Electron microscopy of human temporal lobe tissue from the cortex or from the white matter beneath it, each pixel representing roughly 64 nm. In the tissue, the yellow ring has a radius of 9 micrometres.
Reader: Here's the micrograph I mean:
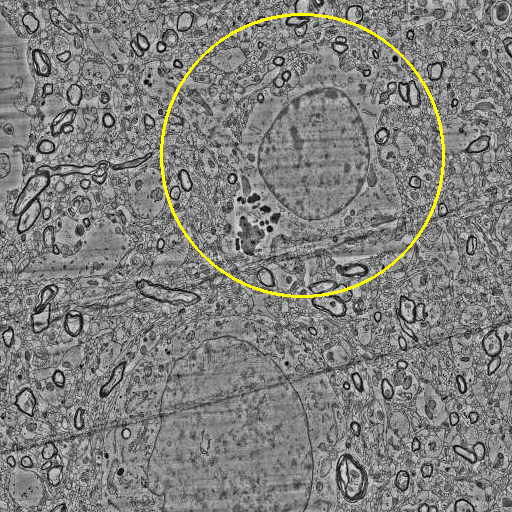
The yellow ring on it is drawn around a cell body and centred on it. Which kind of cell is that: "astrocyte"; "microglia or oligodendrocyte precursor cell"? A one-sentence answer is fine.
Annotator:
The ring is centred on an astrocyte.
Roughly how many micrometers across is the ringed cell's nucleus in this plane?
In this plane the nucleus measures roughly 8 by 7 micrometres.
